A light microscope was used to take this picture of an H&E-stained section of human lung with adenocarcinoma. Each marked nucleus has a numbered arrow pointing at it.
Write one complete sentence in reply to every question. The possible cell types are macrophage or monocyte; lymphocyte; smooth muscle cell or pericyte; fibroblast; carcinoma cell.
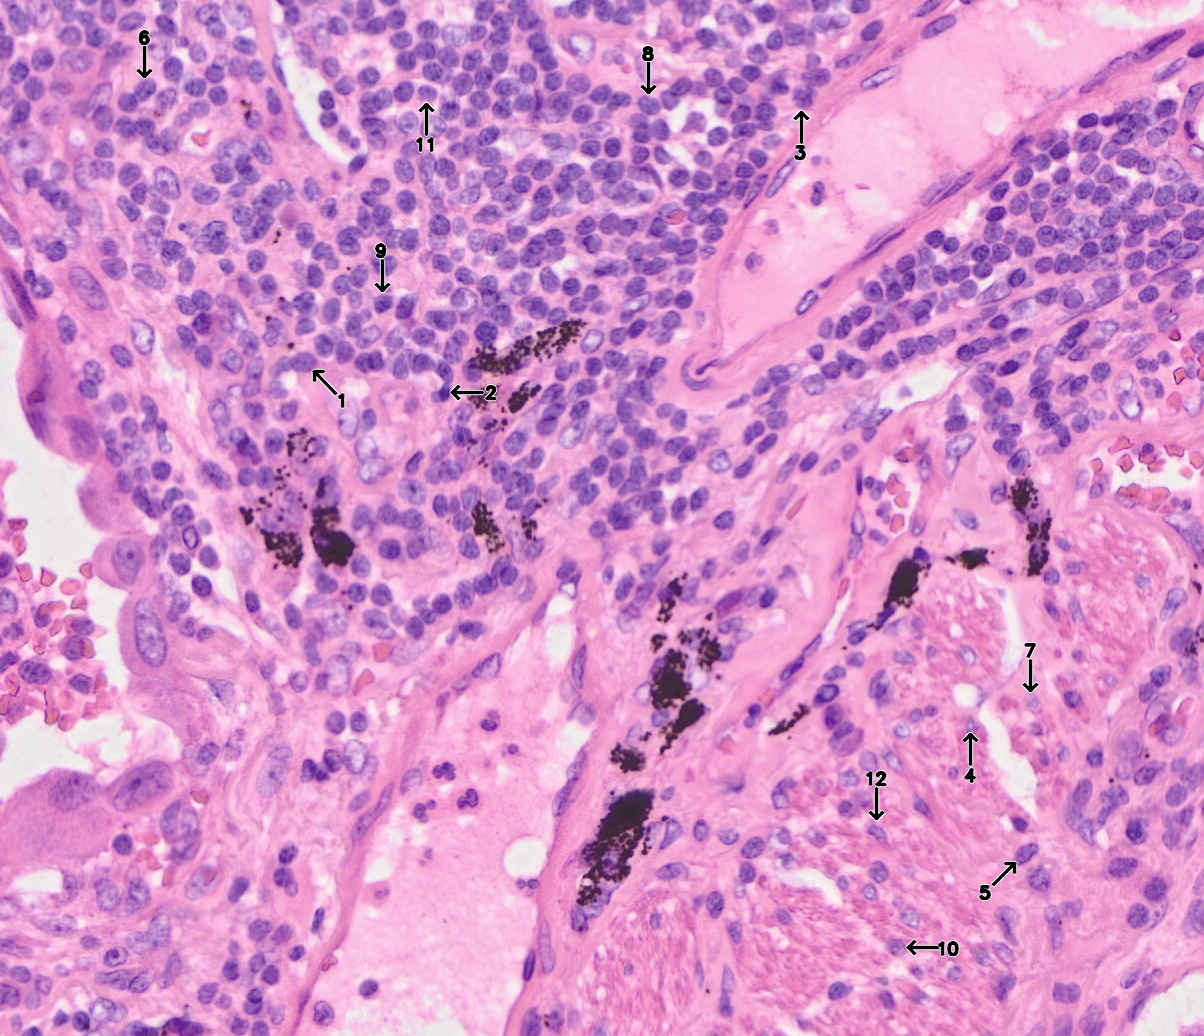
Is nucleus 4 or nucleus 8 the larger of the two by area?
Of the two, number 8 is bigger and takes up about 2.5 times the area of number 4.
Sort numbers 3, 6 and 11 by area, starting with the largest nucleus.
By area, largest first, they run 3, 6, 11.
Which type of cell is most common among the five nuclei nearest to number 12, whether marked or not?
Of the five nuclei nearest to number 12, most belong to smooth muscle cells or pericytes.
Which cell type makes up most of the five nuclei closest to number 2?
Lymphocytes make up most of the five nuclei closest to number 2.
